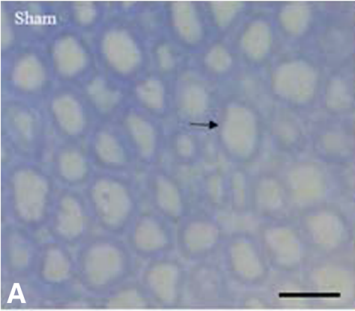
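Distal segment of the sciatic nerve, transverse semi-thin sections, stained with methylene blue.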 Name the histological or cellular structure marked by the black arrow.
Thick and intact myelin axons.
